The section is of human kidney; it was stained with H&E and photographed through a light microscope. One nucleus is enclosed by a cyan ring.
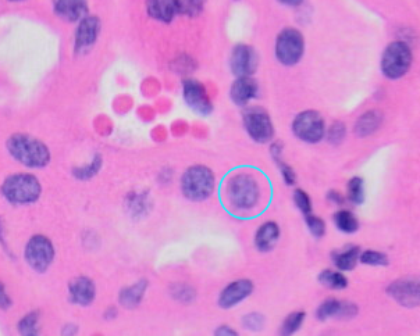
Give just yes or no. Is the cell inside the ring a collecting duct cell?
yes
